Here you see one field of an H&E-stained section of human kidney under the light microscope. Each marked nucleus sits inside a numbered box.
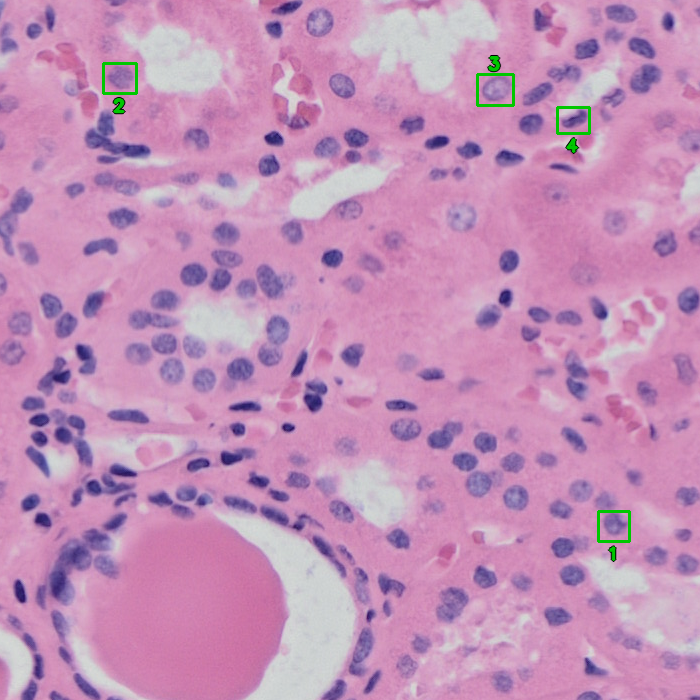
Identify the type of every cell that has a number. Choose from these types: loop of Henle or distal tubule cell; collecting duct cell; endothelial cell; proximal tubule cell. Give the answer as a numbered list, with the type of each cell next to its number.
1. loop of Henle or distal tubule cell
2. proximal tubule cell
3. proximal tubule cell
4. collecting duct cell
